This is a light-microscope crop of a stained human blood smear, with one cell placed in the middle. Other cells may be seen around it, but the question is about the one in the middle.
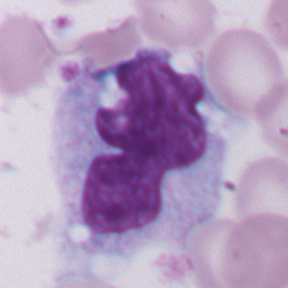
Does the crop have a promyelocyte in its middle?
no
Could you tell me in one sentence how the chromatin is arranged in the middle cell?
Coarse clumps are absent, and the chromatin is fine throughout.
